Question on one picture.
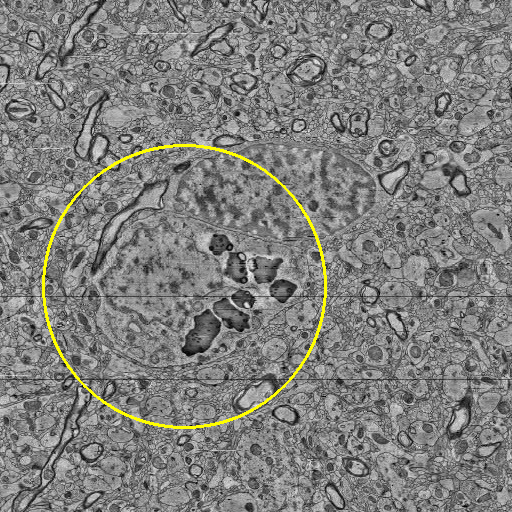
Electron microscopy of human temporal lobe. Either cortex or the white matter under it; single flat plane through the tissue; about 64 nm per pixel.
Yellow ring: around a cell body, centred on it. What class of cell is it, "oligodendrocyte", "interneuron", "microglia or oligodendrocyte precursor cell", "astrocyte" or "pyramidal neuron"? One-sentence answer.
This is an interneuron, the cell the ring is centred on.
